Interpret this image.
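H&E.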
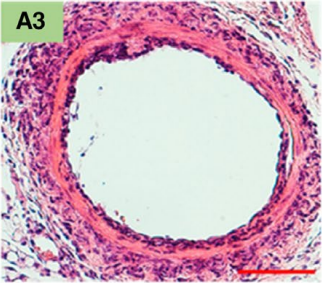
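A pink middle layer of concentric wavy bands forms the wall. A band of cells with purple nuclei lines the lumen inside this pink layer, thicker on some sides than on others. Outside the pink layer is a broad zone of connective tissue crowded with purple nuclei.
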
